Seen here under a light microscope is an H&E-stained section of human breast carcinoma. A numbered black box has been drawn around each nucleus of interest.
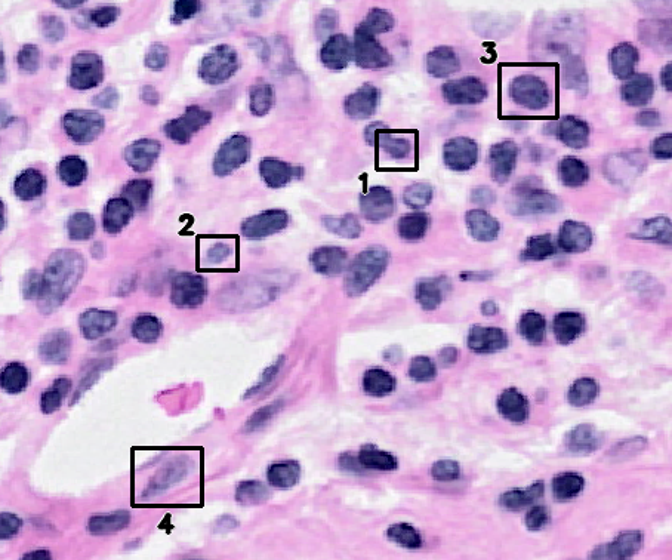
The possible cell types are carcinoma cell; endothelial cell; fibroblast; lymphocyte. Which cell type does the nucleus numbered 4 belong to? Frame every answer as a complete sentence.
Number 4 among the marked cells is an endothelial cell.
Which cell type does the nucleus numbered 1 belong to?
The cell marked with the number 1 is a lymphocyte.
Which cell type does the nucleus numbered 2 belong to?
It is as a lymphocyte that the cell numbered 2 is identified.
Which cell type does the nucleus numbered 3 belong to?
Number 3 is placed on a lymphocyte here.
